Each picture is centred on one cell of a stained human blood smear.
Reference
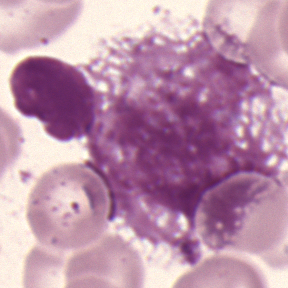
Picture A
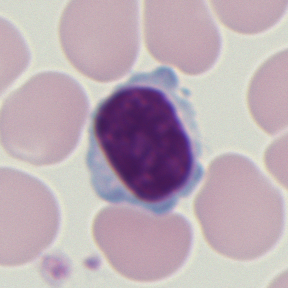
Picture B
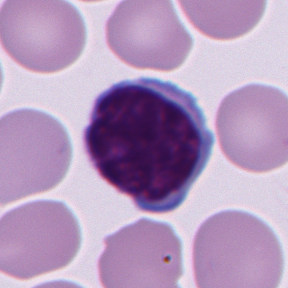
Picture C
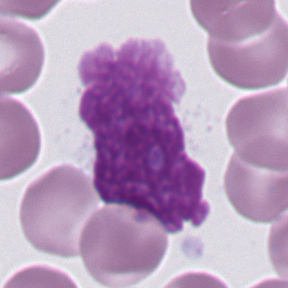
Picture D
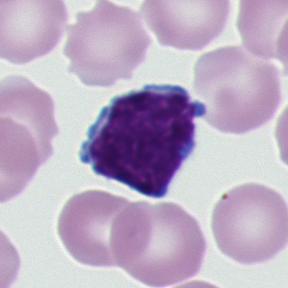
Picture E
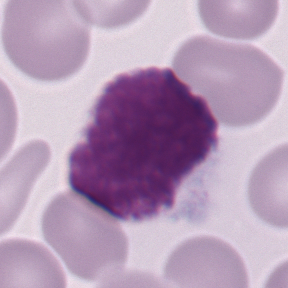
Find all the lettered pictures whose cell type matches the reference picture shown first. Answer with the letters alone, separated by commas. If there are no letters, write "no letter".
C, E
